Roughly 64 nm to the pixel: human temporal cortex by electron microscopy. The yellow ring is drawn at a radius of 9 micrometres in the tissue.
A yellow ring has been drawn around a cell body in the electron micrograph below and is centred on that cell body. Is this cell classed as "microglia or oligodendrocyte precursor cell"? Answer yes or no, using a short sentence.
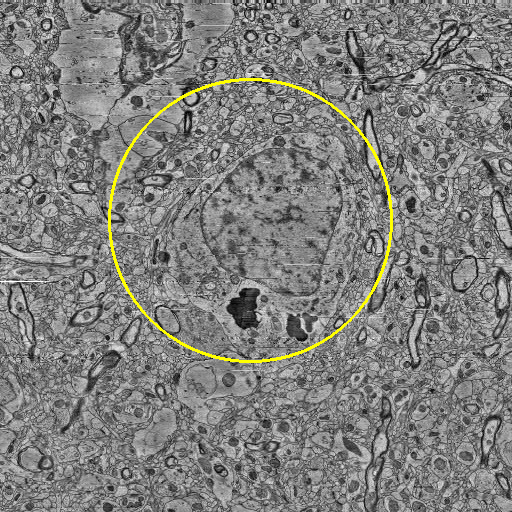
No, it is classed as another kind.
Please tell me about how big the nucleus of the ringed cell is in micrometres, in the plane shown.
In this plane the nucleus measures roughly 10 micrometres across.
